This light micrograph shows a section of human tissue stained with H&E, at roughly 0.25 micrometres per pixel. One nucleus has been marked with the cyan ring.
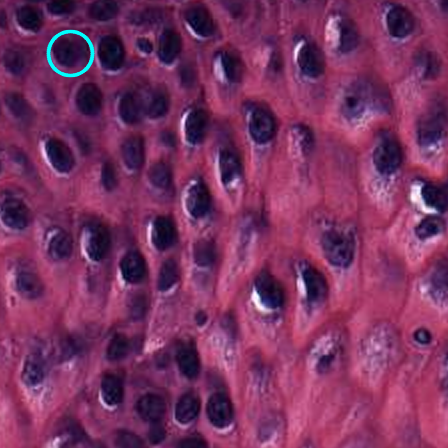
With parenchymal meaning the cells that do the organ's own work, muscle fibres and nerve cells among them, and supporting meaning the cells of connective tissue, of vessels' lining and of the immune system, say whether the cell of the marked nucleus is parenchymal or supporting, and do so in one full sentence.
In the section shown, the marked nucleus belongs to a parenchymal cell, namely a squamous epithelial cell.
